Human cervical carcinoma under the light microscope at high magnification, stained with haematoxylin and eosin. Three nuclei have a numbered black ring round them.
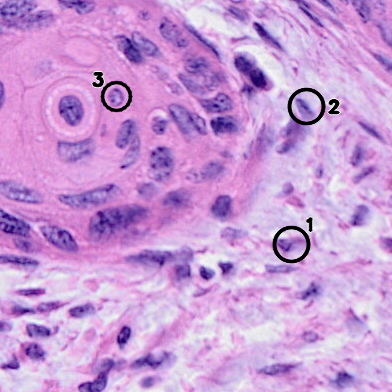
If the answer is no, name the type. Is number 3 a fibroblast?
No, it is a squamous carcinoma cell.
